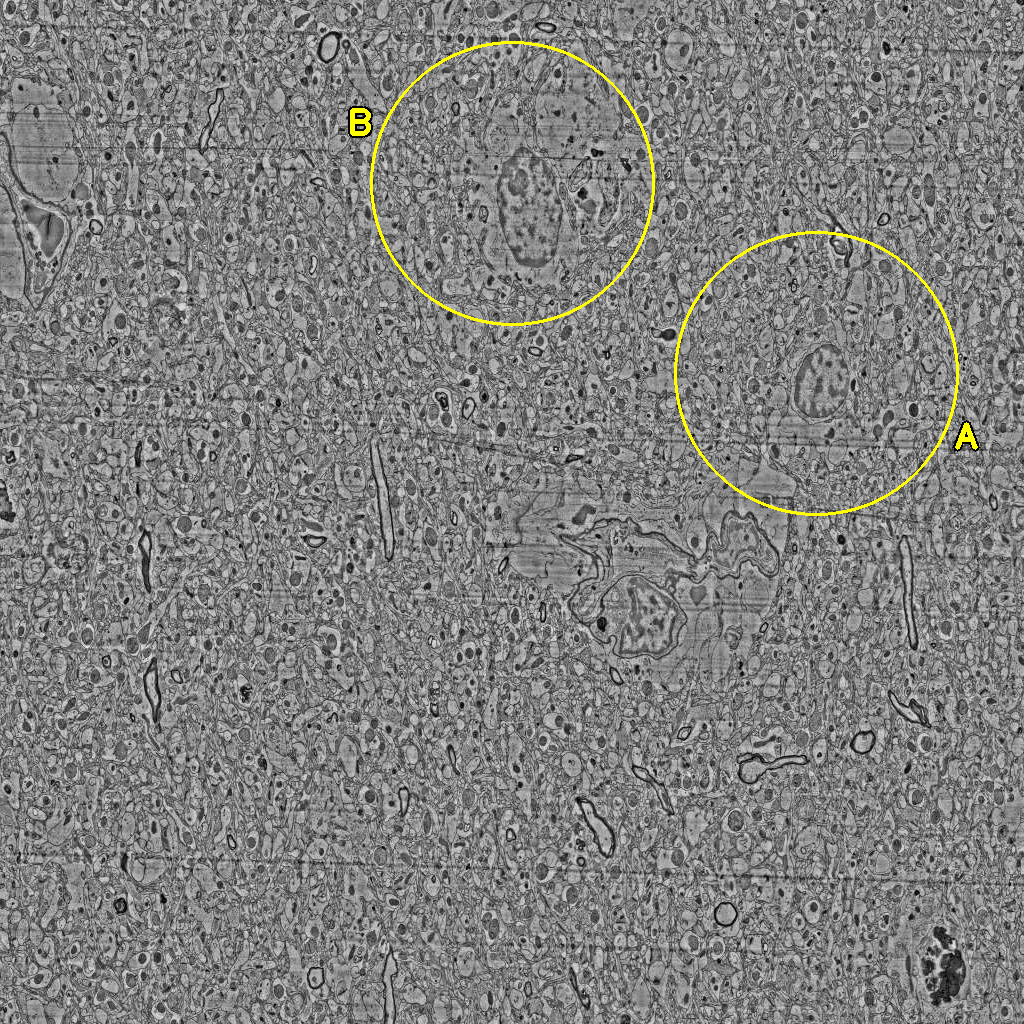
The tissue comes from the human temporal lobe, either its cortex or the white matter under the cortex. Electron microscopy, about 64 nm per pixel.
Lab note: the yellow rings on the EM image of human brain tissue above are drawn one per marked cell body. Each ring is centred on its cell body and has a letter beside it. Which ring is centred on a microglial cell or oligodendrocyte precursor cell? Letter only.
A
